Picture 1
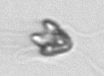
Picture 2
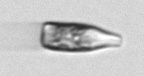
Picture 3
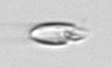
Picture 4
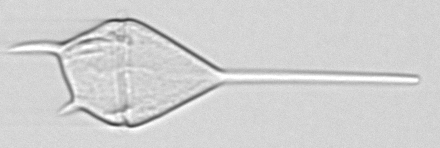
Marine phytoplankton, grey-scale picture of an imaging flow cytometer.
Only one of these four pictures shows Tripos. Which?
Picture 4.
